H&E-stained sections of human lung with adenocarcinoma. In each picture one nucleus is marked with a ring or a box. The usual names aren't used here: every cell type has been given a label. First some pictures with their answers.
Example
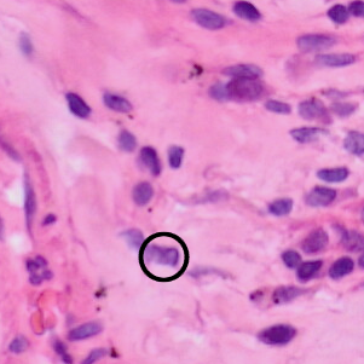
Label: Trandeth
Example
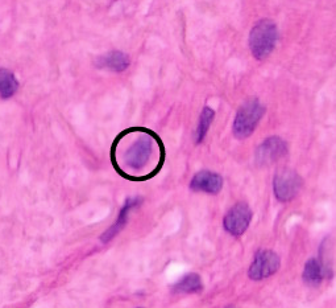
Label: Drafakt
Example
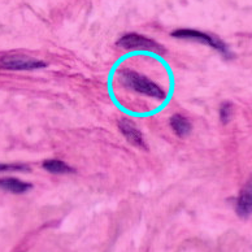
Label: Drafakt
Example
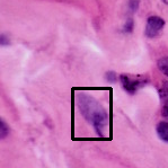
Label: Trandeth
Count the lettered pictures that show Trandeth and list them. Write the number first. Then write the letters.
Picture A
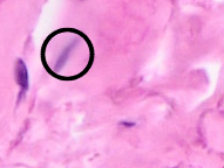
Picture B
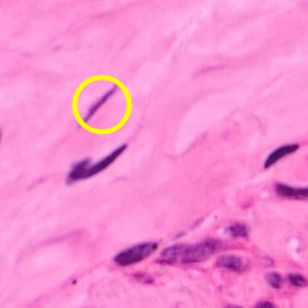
Count: 2 (A, B)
